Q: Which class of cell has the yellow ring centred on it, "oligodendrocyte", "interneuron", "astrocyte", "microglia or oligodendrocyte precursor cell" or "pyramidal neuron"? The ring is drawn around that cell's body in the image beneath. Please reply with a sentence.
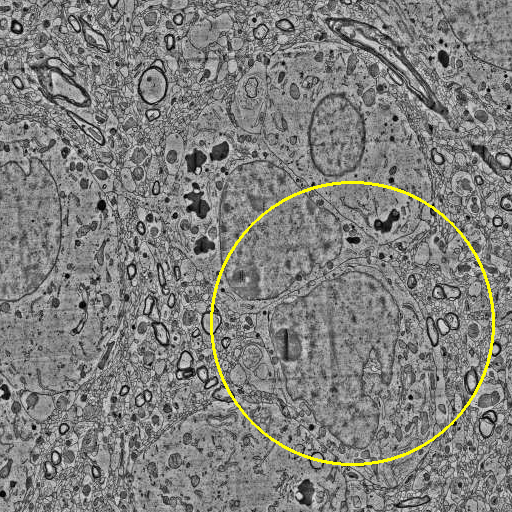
It is centred on an interneuron.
